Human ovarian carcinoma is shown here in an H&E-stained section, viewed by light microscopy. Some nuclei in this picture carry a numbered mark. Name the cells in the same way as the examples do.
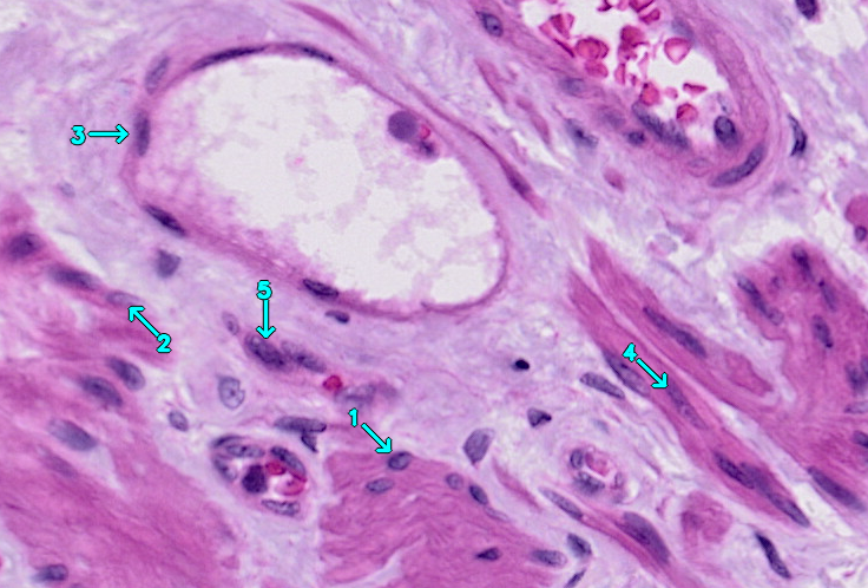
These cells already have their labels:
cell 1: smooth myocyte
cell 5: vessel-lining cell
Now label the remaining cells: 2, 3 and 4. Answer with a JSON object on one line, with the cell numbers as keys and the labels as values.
{"2": "smooth myocyte", "3": "vessel-lining cell", "4": "smooth myocyte"}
